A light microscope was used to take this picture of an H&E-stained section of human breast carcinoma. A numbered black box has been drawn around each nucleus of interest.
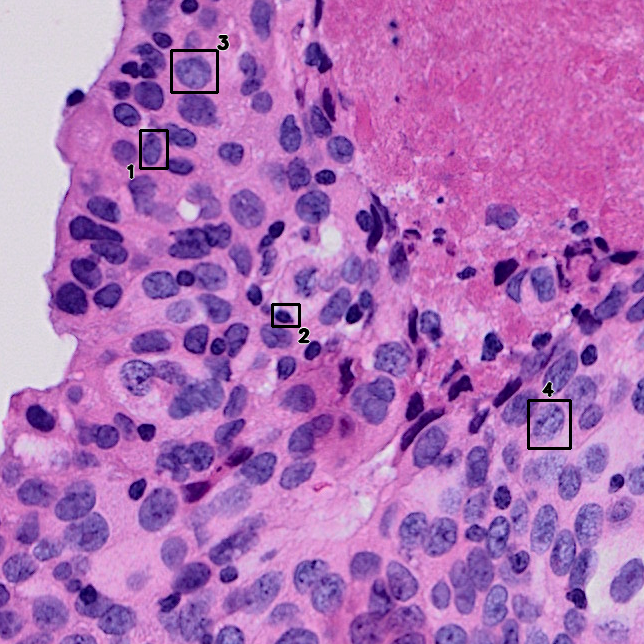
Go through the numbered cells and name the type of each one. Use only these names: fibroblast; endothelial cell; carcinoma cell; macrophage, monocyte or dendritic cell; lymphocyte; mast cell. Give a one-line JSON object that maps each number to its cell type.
{"1": "carcinoma cell", "2": "lymphocyte", "3": "carcinoma cell", "4": "carcinoma cell"}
